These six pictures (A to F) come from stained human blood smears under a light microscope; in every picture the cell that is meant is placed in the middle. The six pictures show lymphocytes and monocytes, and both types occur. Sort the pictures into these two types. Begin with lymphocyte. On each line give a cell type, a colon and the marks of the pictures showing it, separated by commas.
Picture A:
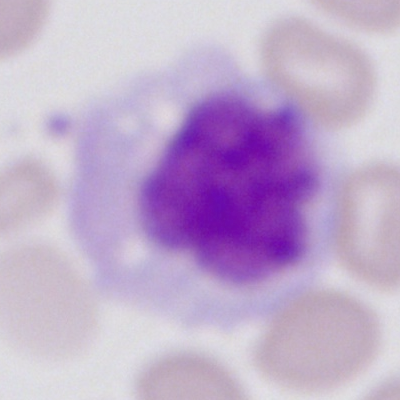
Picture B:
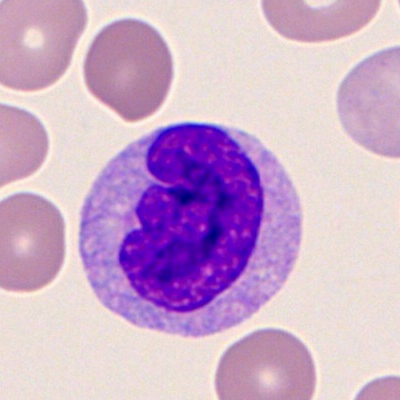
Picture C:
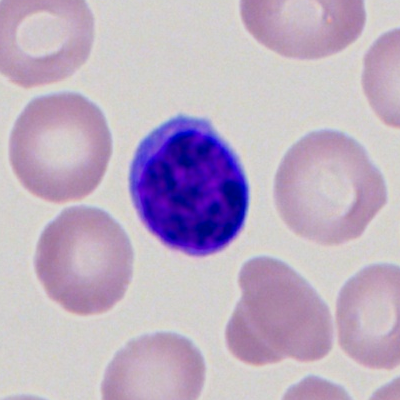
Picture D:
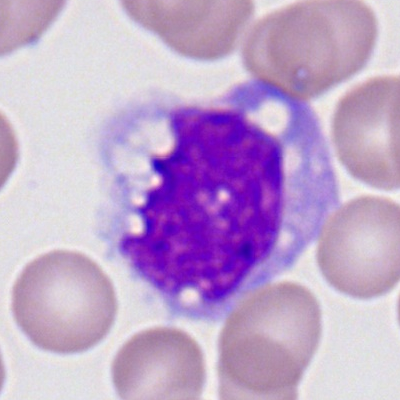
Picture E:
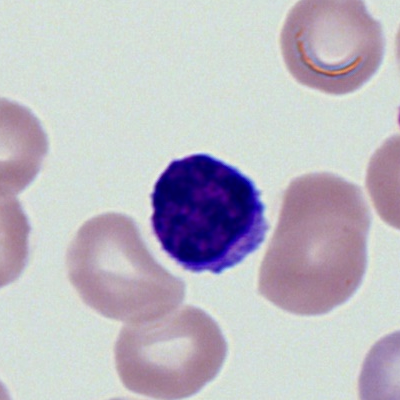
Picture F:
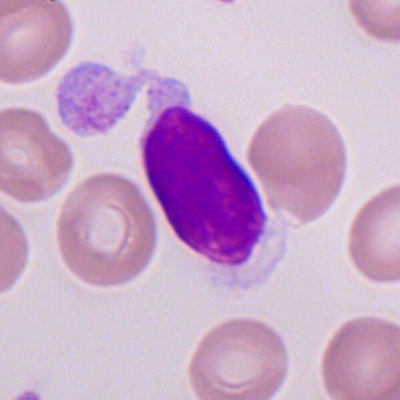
lymphocyte: C, E, F
monocyte: A, B, D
